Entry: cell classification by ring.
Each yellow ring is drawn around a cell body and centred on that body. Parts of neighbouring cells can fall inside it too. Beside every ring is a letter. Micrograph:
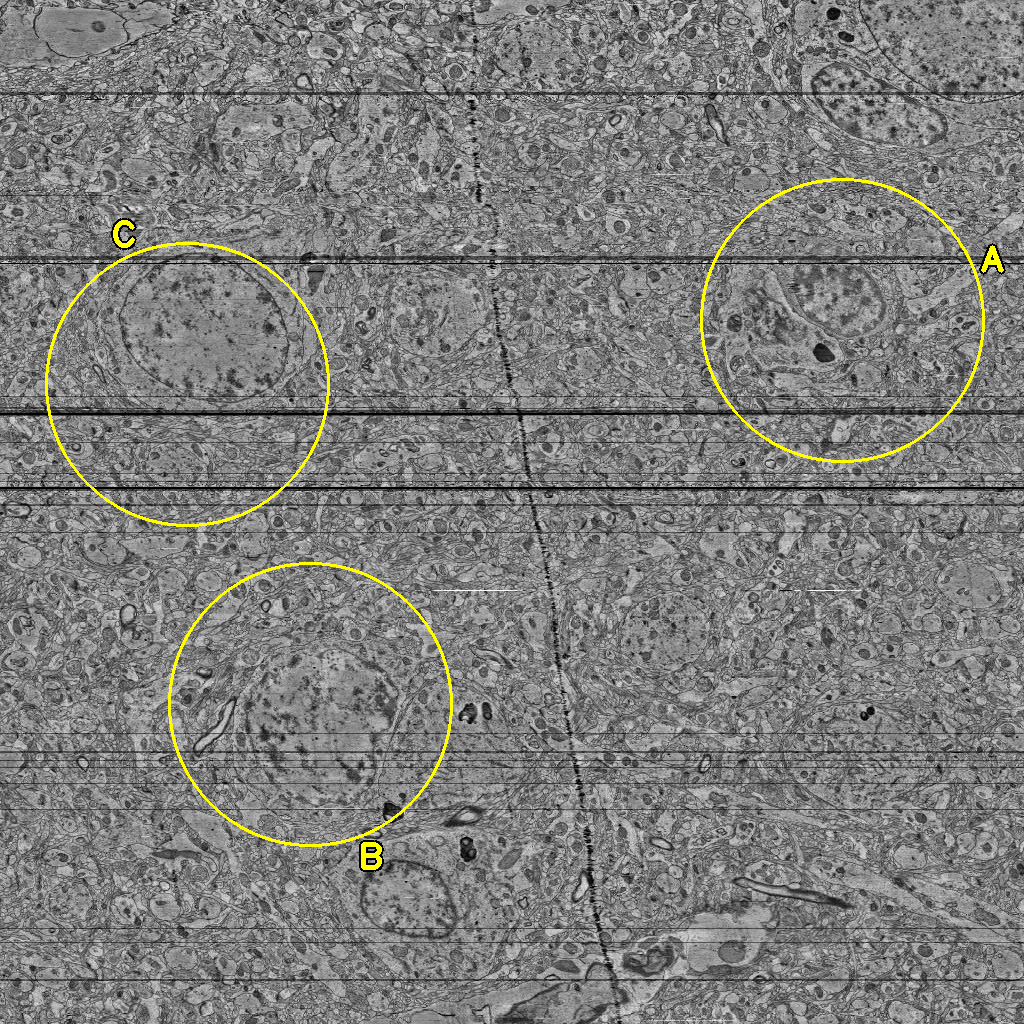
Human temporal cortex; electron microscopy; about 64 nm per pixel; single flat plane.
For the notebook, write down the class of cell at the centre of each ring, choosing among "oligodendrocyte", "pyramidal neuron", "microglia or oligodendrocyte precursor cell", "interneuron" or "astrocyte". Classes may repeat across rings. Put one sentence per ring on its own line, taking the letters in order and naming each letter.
Ring A marks an oligodendrocyte.
Ring B marks an interneuron.
Ring C marks a pyramidal neuron.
